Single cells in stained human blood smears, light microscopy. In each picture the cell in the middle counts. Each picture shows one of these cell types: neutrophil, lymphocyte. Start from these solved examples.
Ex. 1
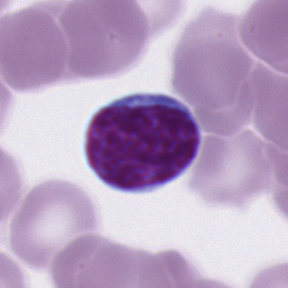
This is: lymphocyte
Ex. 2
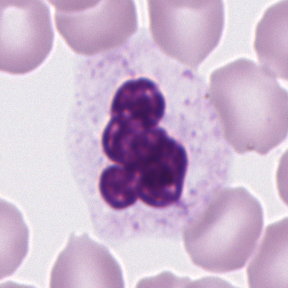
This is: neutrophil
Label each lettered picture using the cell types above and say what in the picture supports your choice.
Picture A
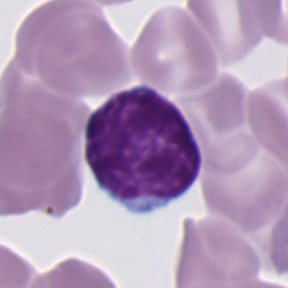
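lymphocyte: The cytoplasm shows only as a thin crescent along the lower edge of the cell.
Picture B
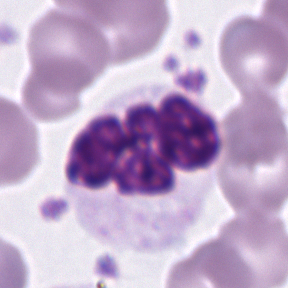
neutrophil: The cytoplasm is plentiful and widest below the nucleus.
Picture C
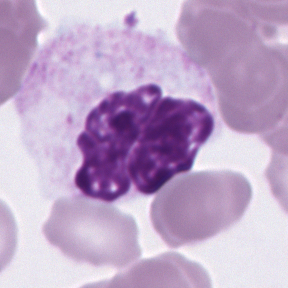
neutrophil: The cytoplasm is abundant and very pale lilac.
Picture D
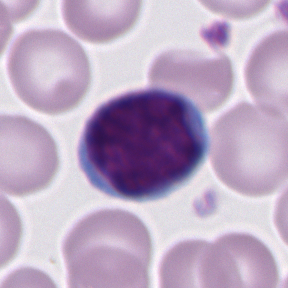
lymphocyte: The cytoplasm forms only a thin rim around the nucleus.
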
